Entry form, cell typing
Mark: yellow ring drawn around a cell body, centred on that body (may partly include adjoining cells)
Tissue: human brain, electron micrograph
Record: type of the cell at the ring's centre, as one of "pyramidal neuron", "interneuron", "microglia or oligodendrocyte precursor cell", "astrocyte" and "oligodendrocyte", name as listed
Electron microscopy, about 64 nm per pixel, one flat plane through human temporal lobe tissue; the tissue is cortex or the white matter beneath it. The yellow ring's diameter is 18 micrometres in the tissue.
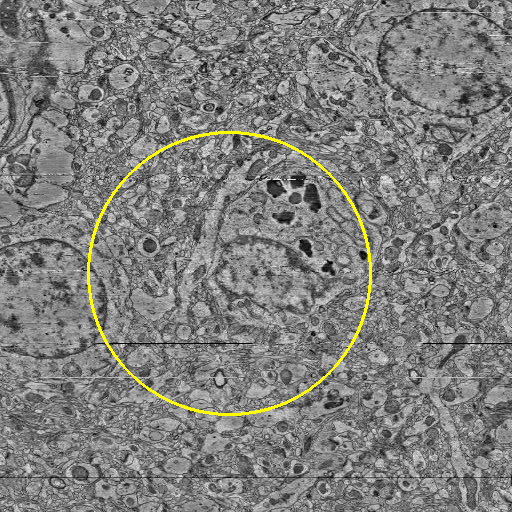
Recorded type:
interneuron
